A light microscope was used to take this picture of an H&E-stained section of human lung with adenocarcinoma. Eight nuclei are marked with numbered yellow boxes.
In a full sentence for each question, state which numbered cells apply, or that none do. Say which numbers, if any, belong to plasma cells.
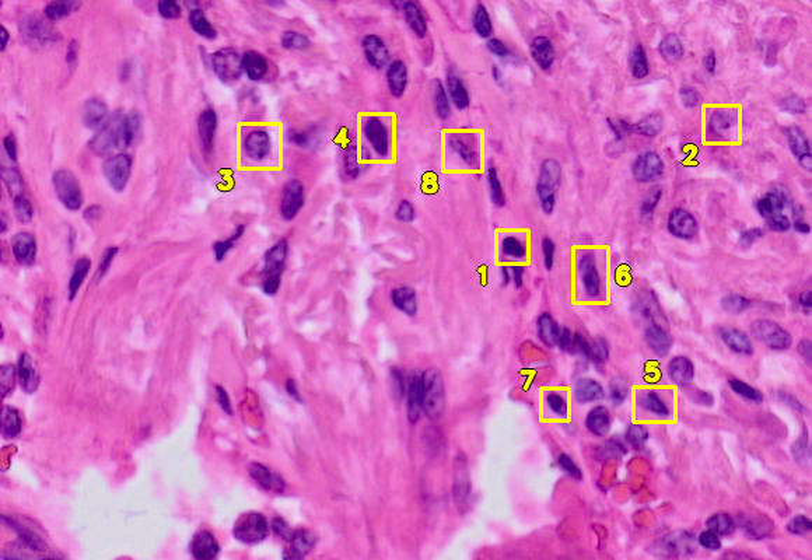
The cells tagged 2, 3, 4, 6 and 8 are plasma cells in this tissue section.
